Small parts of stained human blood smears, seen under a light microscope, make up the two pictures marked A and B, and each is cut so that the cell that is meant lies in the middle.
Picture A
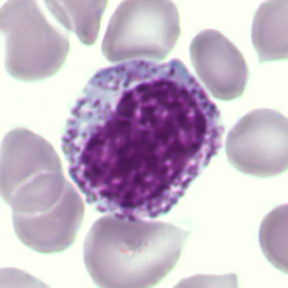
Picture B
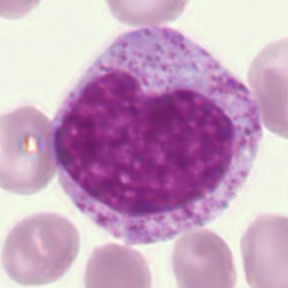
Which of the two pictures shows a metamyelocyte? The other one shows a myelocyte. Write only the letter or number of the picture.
A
